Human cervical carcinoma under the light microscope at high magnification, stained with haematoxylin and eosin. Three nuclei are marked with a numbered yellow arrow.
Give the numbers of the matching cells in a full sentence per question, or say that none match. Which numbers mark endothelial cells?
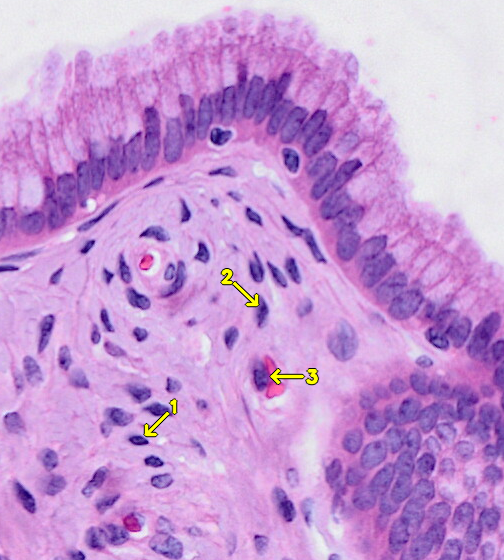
Cell 3 is the only numbered cell that is an endothelial cell.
